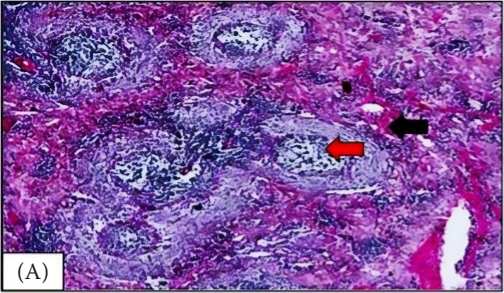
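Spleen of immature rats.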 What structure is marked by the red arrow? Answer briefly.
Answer: Lymphoid follicles in the white pulp.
